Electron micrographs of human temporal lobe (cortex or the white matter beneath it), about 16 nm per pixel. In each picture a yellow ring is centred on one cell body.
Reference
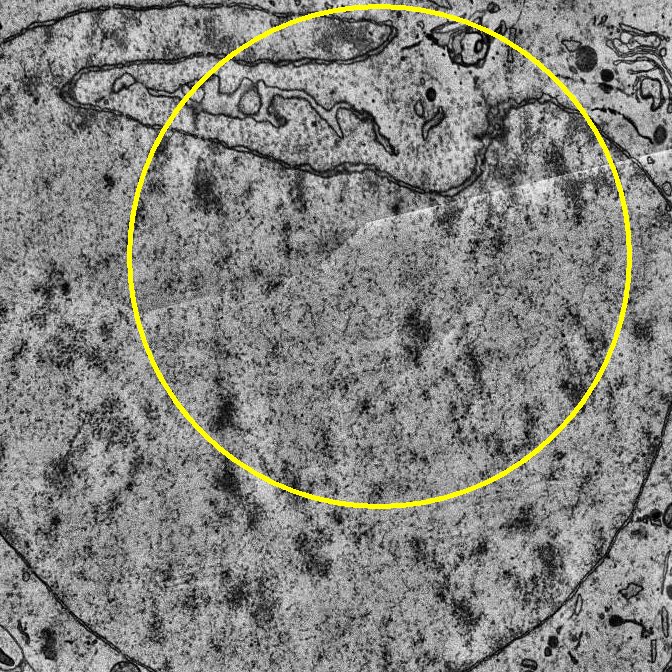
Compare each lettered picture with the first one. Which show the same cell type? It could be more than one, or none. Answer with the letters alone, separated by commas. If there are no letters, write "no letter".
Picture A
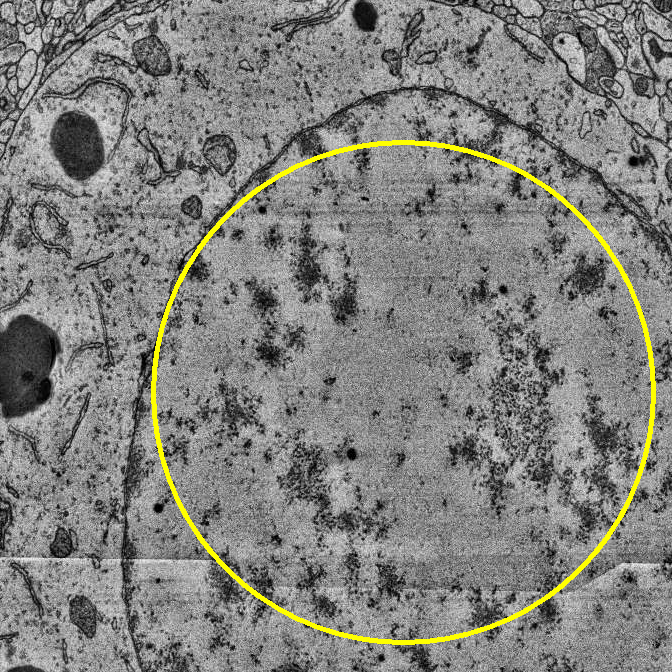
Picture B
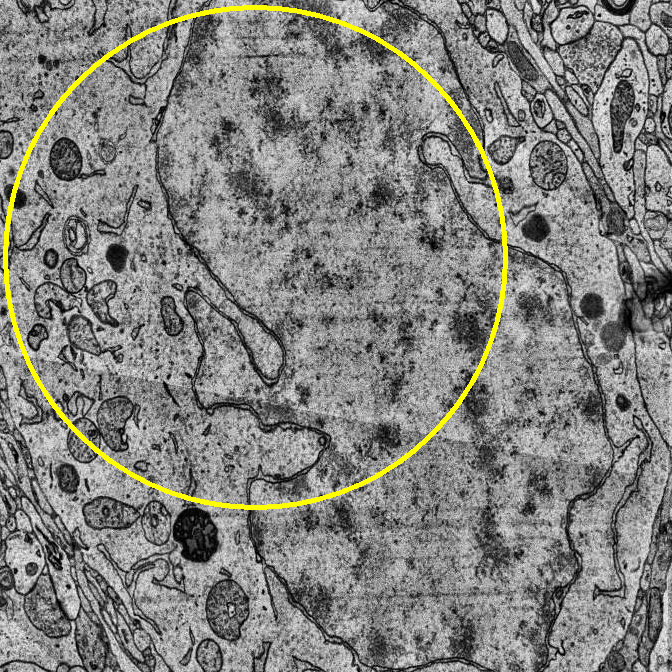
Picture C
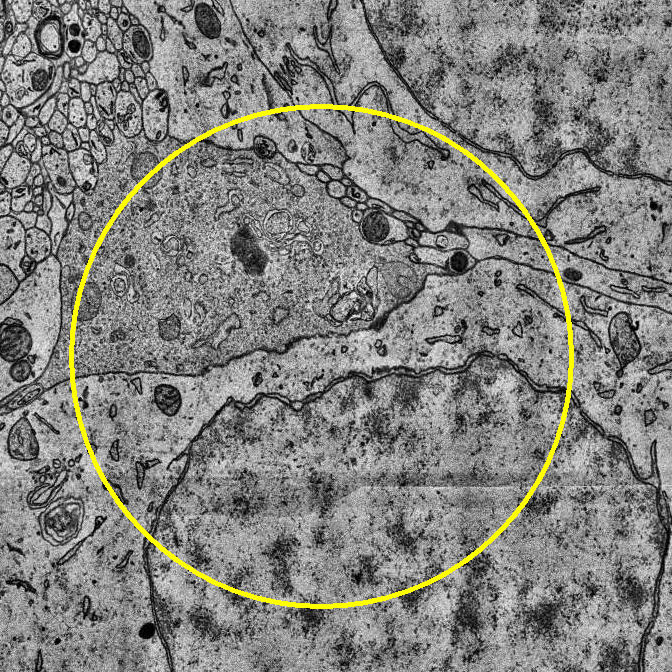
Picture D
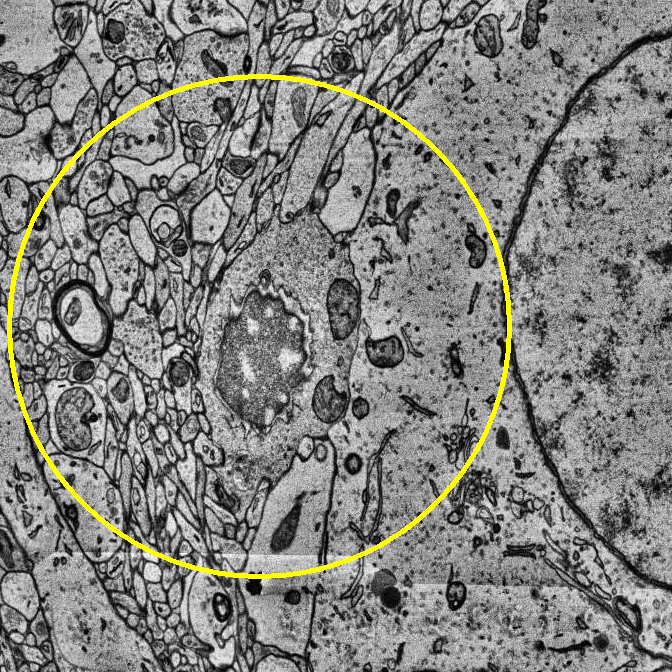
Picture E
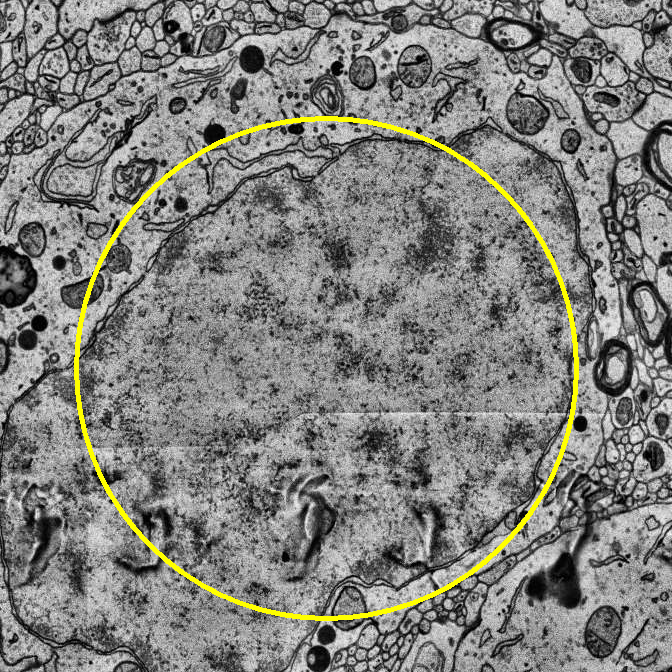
A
